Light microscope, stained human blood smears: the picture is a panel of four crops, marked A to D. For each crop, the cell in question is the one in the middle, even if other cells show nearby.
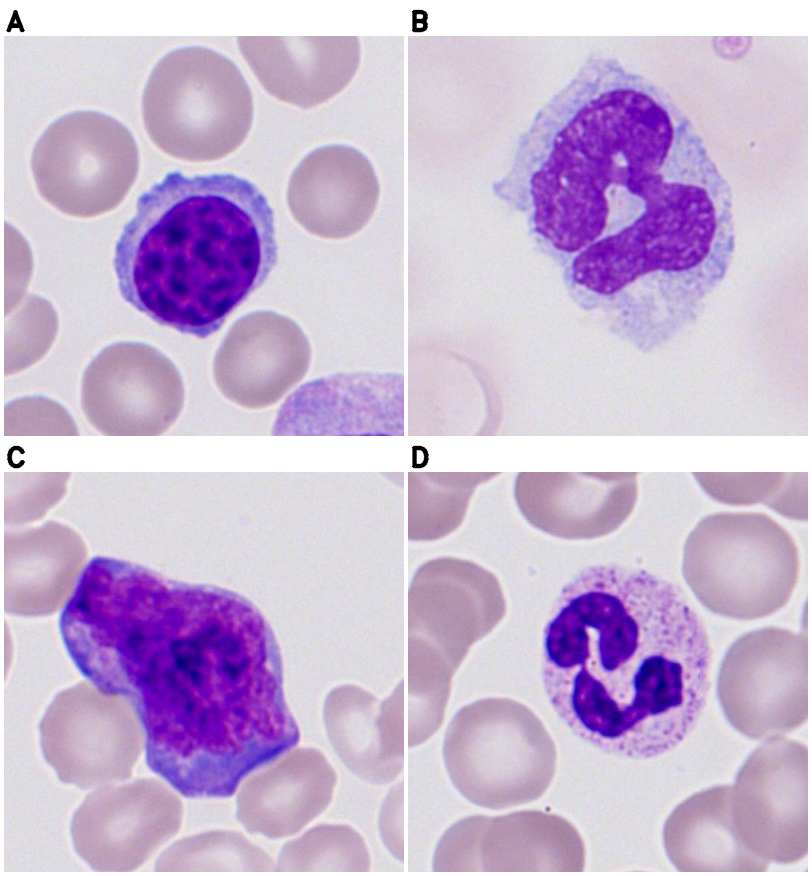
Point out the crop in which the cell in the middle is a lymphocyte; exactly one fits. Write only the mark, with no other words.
A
